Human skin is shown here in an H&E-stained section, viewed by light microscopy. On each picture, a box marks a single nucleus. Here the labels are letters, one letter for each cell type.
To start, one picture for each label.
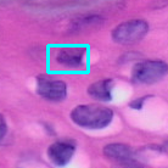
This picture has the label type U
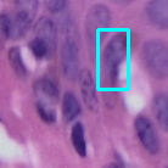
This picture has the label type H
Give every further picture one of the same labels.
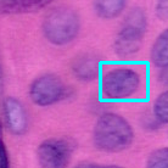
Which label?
type U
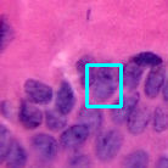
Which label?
type H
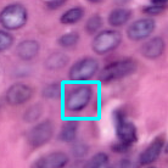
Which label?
type H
